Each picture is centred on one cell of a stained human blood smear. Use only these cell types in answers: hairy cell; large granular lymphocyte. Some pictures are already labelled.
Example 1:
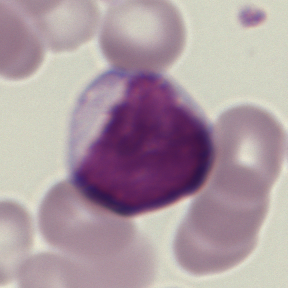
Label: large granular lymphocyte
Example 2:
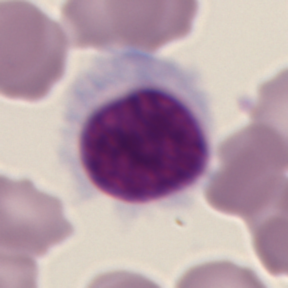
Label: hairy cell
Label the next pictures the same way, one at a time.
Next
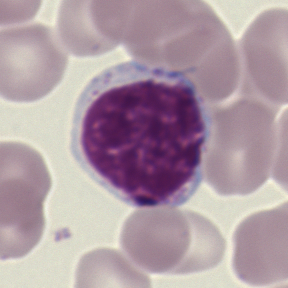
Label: large granular lymphocyte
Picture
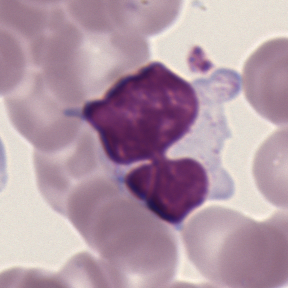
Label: large granular lymphocyte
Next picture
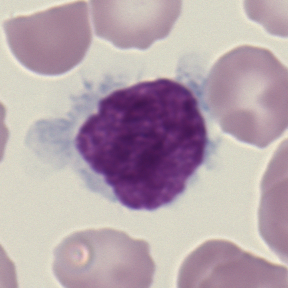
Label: hairy cell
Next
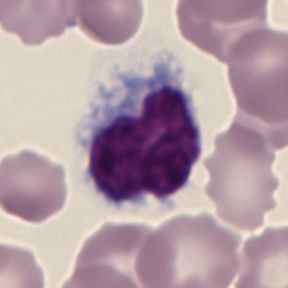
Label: hairy cell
